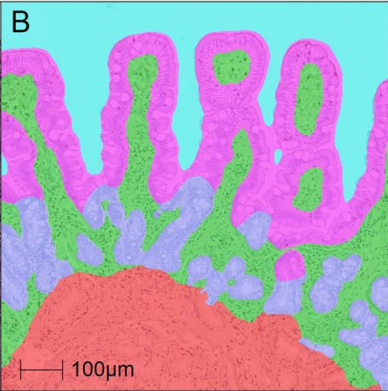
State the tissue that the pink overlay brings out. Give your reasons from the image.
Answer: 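The pink band outlines the surface of the finger-like projections. The pink covers the outer lining of each projection, not its core. On this evidence: villous epithelium.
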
